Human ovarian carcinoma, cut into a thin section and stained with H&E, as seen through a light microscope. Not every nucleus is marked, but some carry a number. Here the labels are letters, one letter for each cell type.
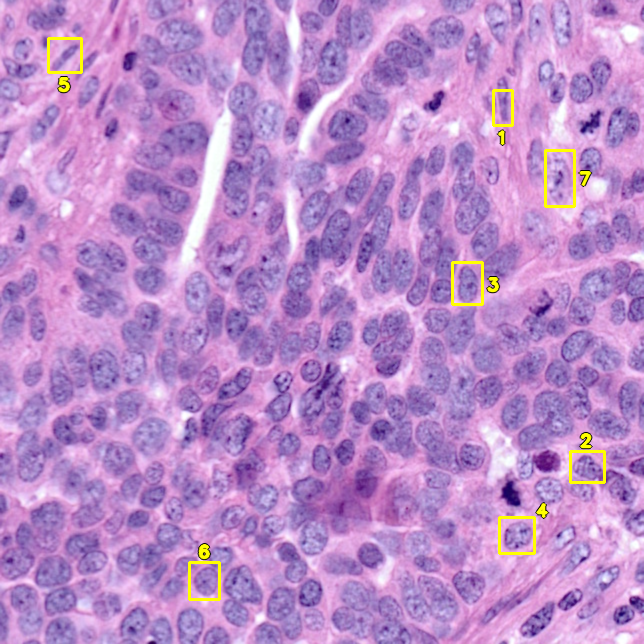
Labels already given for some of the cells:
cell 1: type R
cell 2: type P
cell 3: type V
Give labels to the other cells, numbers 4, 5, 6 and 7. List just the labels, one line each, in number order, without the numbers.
type P
type R
type V
type R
